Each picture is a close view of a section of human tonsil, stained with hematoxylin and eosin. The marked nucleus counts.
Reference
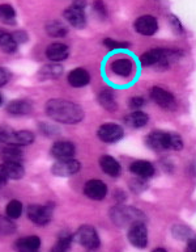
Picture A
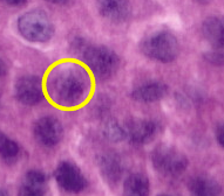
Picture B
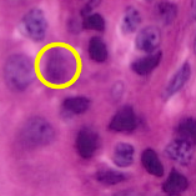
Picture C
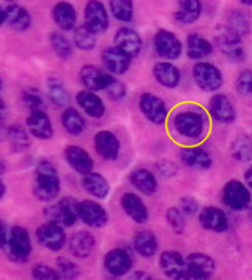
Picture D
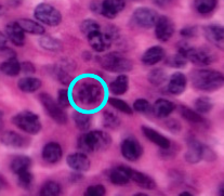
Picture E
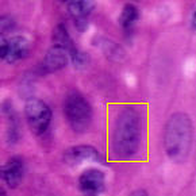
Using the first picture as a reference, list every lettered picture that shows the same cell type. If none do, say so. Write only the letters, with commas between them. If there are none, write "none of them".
C, D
